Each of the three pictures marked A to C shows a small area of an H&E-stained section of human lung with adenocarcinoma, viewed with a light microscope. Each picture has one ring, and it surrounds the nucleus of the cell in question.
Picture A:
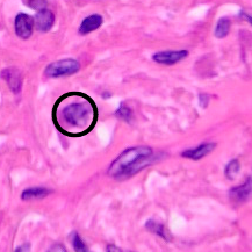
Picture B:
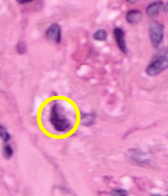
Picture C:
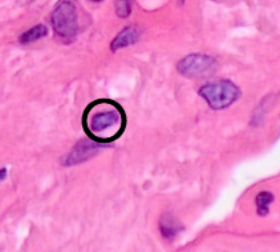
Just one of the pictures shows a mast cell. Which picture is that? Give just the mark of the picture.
C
